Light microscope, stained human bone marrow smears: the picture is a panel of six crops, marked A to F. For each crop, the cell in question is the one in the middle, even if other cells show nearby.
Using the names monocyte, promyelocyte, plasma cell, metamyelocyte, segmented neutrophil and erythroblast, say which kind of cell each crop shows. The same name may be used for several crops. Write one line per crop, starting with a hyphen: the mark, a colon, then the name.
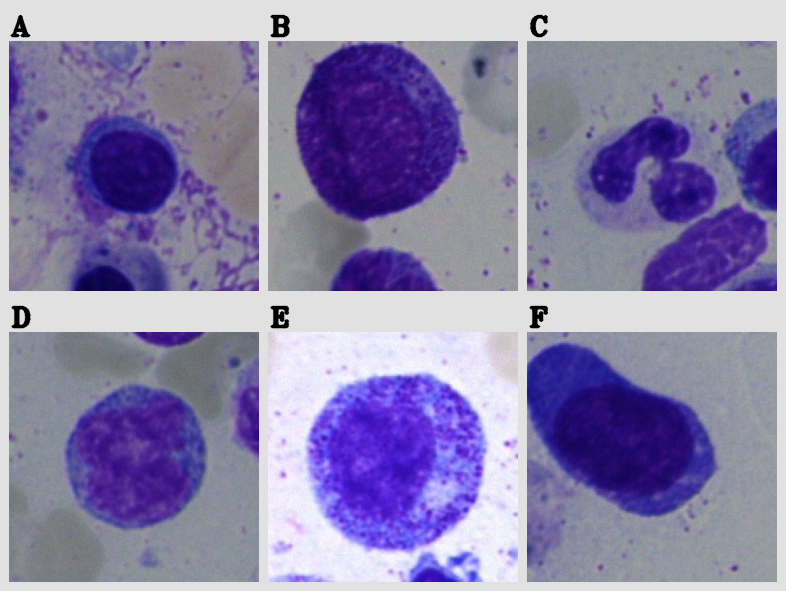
- A: erythroblast
- B: promyelocyte
- C: segmented neutrophil
- D: monocyte
- E: promyelocyte
- F: plasma cell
